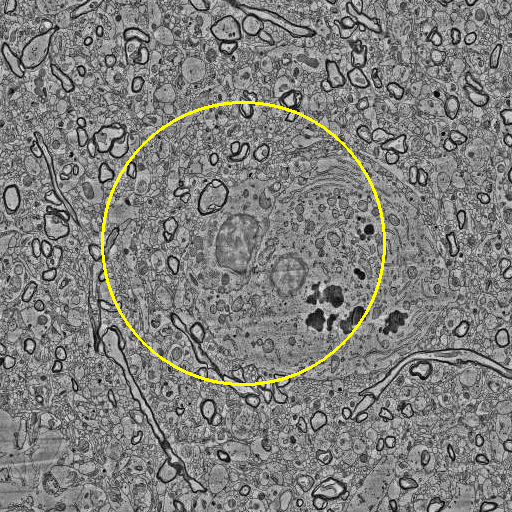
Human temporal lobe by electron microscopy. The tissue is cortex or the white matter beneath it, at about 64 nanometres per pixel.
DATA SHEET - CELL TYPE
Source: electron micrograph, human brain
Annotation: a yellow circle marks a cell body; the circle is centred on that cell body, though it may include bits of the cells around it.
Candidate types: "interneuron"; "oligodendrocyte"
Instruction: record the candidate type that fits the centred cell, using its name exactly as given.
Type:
oligodendrocyte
